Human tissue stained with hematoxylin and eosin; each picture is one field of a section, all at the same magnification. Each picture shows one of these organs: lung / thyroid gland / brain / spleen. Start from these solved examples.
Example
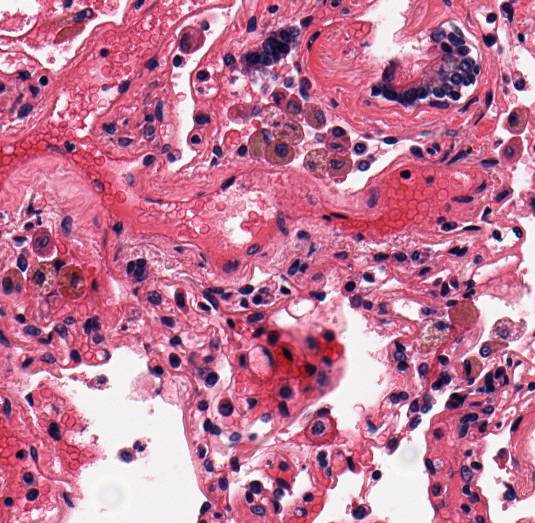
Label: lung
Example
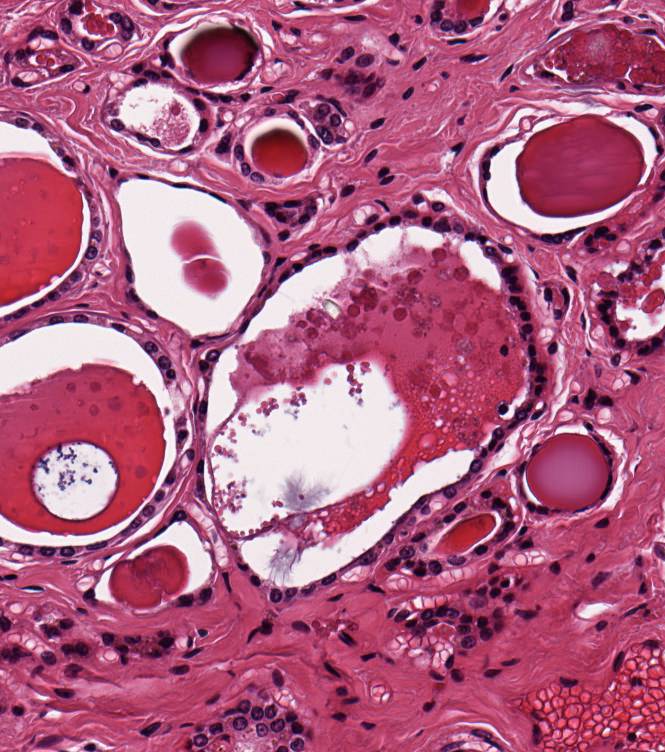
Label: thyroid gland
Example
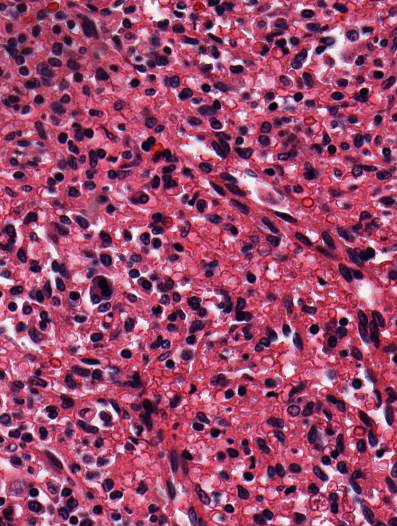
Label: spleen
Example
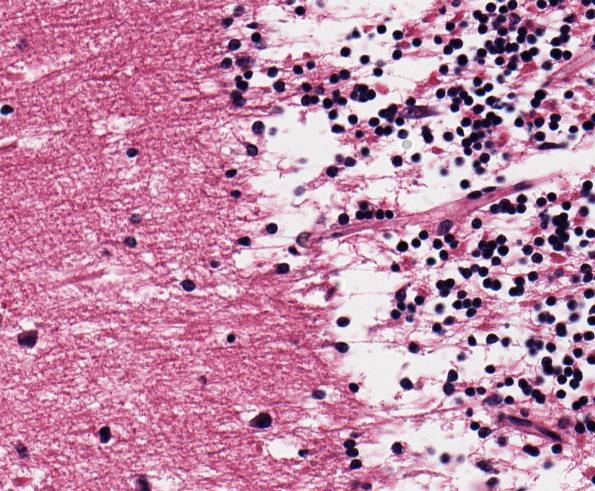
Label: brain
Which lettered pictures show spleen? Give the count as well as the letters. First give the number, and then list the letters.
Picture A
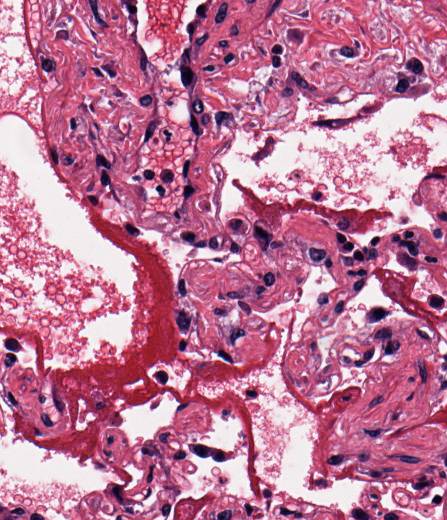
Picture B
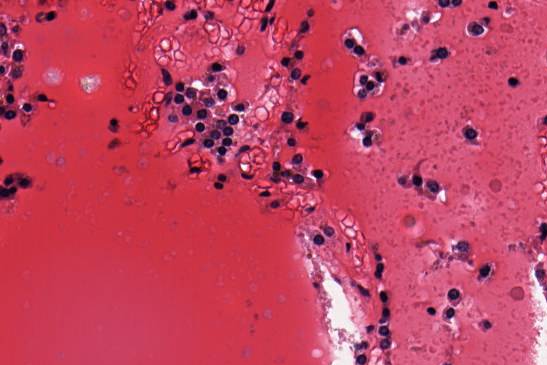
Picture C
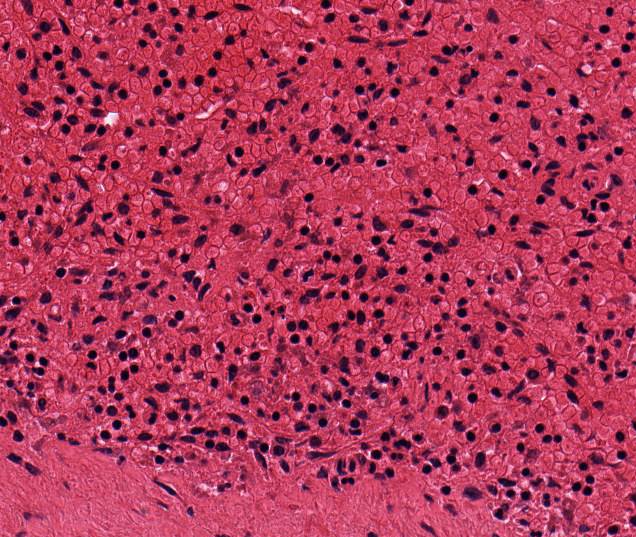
1, namely C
